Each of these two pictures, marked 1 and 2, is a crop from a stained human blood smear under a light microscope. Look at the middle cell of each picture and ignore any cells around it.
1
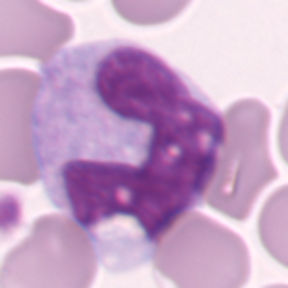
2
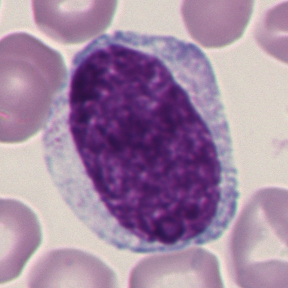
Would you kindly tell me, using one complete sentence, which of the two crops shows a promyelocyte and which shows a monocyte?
Crop 1 presents a monocyte, and crop 2 presents a promyelocyte.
